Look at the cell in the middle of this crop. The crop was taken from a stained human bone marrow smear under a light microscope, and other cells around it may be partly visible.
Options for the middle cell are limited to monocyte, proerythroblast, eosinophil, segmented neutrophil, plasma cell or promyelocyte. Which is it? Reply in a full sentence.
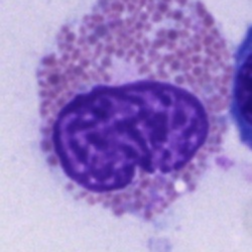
For this crop, the central cell is an eosinophil.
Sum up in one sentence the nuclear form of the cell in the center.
See how the nucleus sits as one compact round, oval or kidney-shaped mass.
